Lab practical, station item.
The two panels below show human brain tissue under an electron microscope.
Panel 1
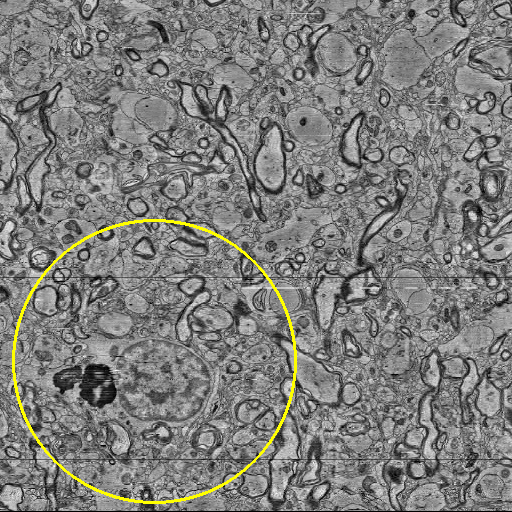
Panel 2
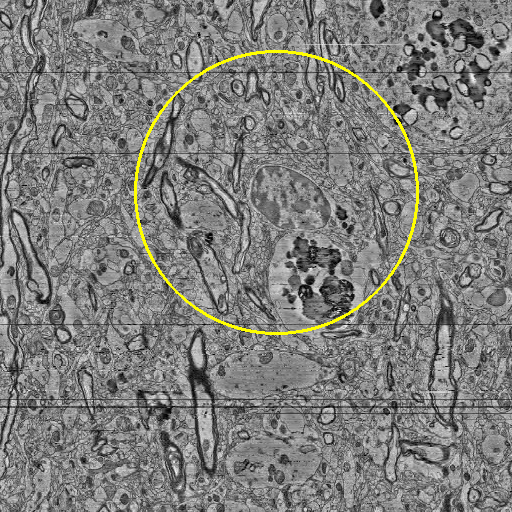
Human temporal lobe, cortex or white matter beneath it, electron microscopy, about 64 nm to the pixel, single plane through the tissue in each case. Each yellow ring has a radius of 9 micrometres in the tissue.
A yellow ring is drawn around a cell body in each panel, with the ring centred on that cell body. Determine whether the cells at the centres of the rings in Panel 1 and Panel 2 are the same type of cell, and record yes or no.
no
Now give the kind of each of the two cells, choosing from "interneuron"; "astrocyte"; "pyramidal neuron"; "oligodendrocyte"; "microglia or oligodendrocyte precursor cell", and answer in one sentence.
The cell in the first picture is an oligodendrocyte, and the cell in the second is a microglial cell or oligodendrocyte precursor cell.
